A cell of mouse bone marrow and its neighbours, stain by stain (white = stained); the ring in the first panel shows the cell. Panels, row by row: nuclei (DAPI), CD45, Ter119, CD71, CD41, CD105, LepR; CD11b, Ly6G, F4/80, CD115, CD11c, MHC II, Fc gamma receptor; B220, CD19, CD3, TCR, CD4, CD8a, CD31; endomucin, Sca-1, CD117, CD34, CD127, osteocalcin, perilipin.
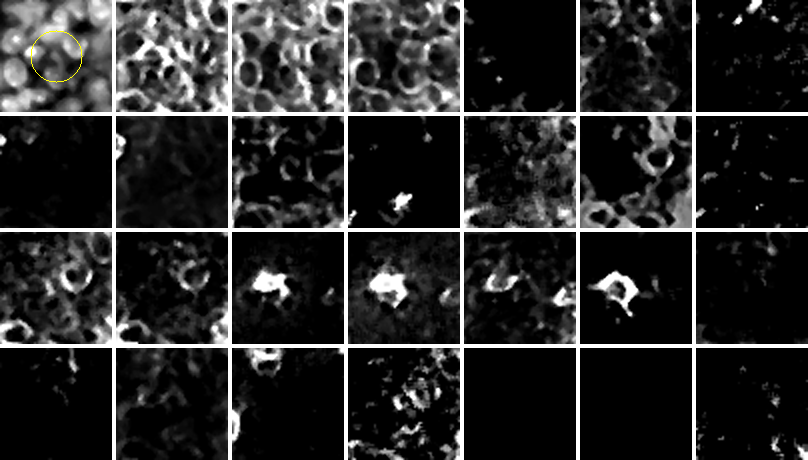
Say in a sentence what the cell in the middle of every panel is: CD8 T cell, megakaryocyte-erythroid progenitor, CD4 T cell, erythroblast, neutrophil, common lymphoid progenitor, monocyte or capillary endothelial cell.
This is a CD8 T cell.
